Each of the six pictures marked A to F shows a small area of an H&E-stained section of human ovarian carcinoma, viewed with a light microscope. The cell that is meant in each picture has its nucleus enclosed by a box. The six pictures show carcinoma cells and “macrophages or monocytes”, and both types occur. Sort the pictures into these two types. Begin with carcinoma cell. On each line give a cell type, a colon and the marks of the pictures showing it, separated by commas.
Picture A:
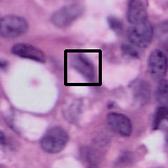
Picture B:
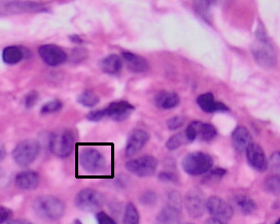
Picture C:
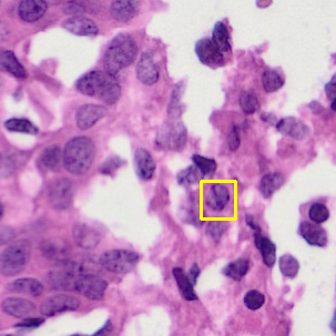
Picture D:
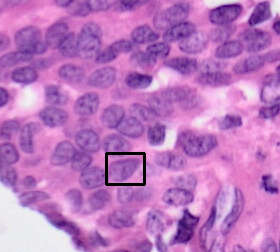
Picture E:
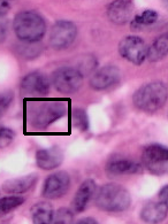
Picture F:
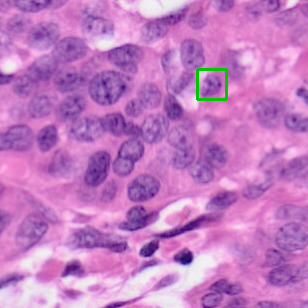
carcinoma cell: A, D, E
macrophage or monocyte: B, C, F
